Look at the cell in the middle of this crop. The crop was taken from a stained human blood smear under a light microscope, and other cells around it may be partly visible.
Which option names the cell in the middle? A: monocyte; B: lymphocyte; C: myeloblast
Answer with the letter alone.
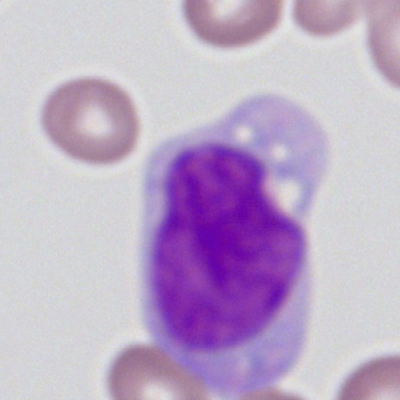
A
